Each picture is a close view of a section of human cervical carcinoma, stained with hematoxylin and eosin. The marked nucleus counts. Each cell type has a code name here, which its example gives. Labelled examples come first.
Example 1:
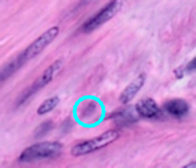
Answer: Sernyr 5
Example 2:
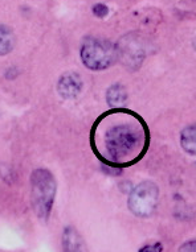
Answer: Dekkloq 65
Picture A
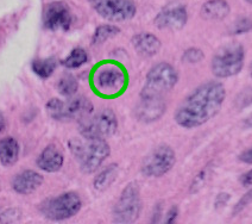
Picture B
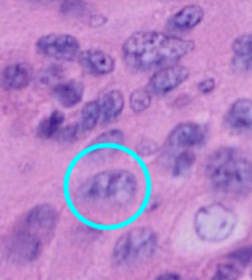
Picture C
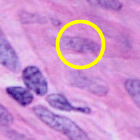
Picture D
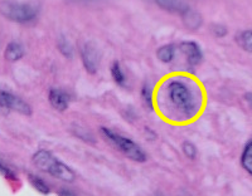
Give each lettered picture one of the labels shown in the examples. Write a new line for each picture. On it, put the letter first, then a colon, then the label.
A: Dekkloq 65
B: Dekkloq 65
C: Sernyr 5
D: Sernyr 5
